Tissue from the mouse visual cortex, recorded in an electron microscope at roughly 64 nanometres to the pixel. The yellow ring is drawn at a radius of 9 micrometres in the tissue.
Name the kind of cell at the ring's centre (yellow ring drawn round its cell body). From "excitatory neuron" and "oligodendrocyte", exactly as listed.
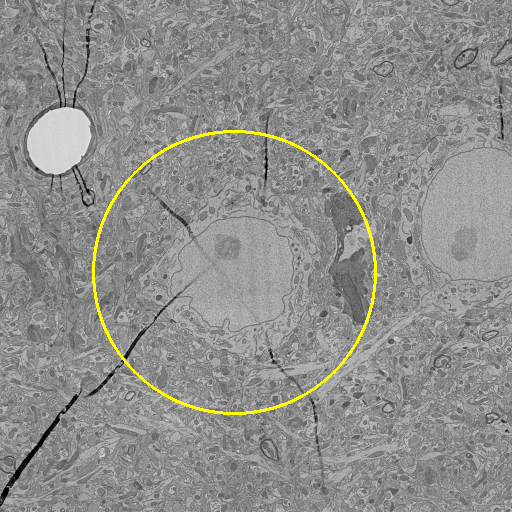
excitatory neuron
